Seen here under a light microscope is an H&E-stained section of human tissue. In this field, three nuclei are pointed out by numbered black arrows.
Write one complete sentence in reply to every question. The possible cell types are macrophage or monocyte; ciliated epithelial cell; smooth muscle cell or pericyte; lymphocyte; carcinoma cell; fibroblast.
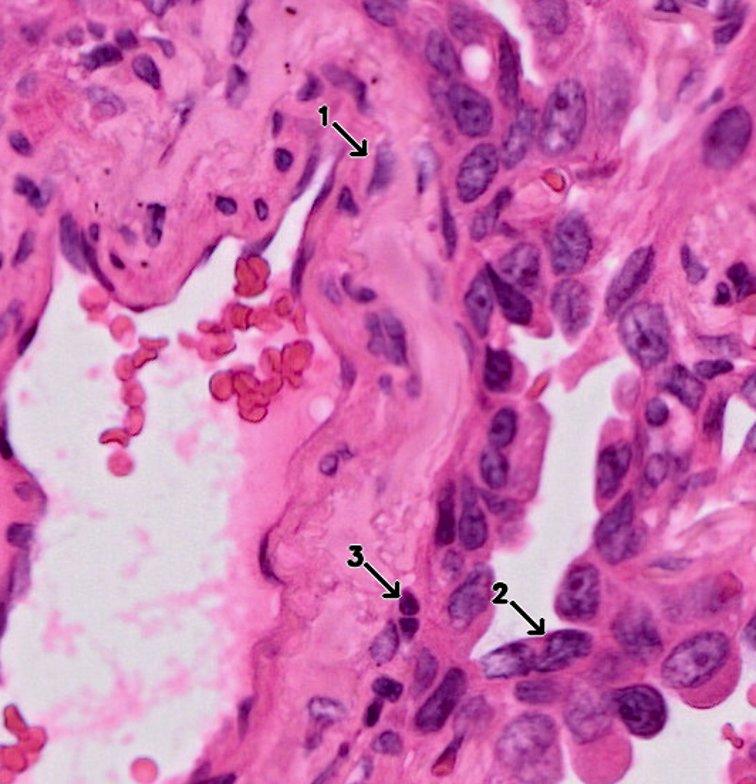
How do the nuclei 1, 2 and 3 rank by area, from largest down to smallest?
Going from the biggest nucleus down to the smallest gives 2, 1, 3.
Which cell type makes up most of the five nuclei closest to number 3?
Carcinoma cells account for more than half of the five nuclei nearest to number 3.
